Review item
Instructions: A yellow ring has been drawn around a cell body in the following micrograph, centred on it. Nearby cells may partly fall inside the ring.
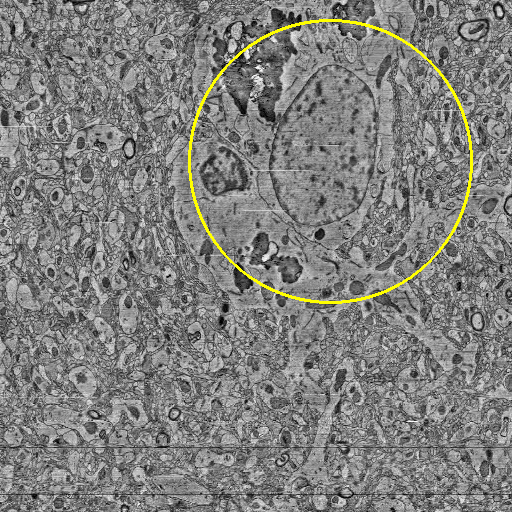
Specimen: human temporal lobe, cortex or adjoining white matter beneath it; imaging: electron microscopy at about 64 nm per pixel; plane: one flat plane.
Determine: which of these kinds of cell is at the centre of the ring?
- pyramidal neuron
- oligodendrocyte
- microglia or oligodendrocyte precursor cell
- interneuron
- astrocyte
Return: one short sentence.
The cell body in the middle of the ring is that of an astrocyte.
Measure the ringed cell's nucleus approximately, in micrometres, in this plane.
Roughly 11 micrometres long and 7 micrometres wide; in this plane the nucleus is clearly longer than it is wide.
